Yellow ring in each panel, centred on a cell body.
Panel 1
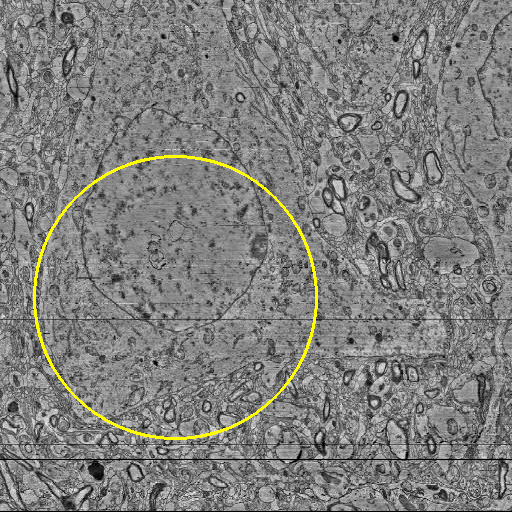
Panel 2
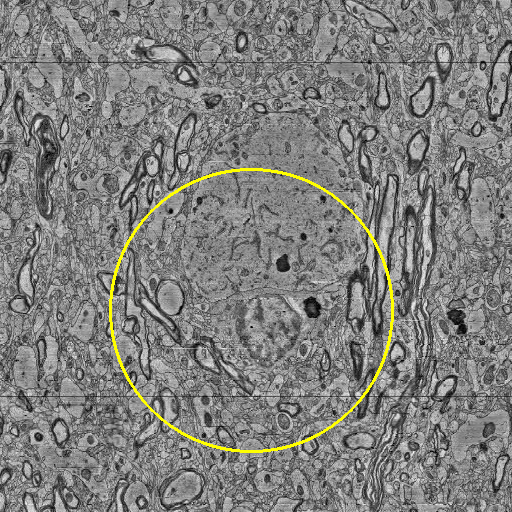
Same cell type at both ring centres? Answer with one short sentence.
No, the two cells are of two types.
